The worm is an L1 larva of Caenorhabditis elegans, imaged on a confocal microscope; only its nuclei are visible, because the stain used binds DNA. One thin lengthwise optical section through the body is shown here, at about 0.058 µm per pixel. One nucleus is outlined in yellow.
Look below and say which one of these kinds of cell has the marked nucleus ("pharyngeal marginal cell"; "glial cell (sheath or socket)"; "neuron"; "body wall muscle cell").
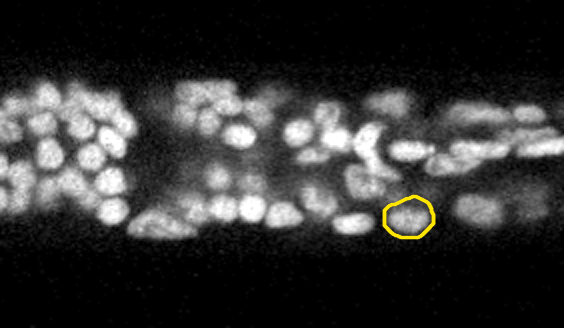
body wall muscle cell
